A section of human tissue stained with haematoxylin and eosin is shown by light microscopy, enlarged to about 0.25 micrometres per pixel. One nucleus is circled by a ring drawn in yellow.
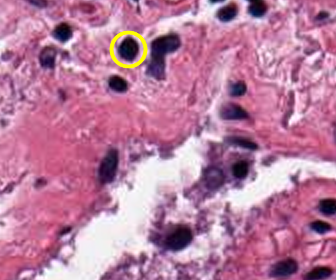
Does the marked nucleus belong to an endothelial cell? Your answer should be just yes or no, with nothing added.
no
